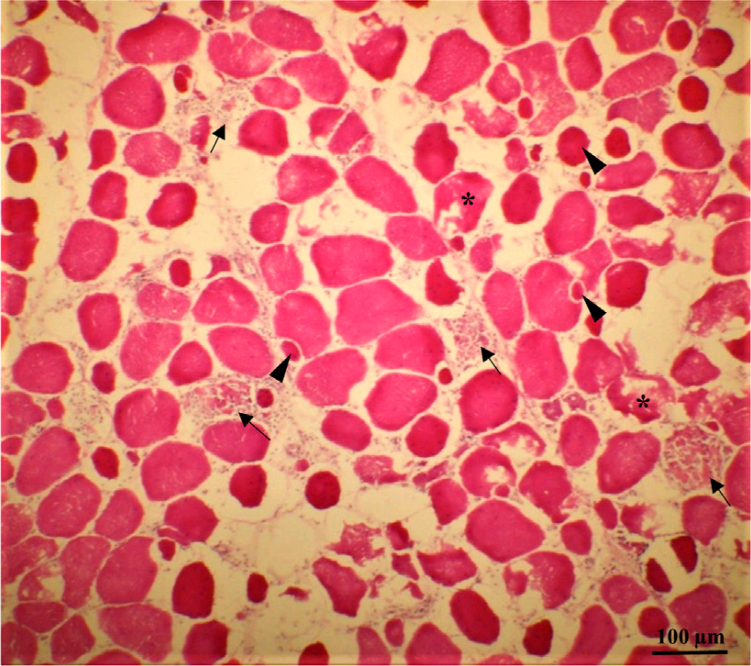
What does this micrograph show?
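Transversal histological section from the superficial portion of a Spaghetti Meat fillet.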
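This cross-section of skeletal muscle shows degenerating muscle fibers that have lost their normal packed arrangement. The fibers are rounded rather than polygonal and lie apart from each other in wide pale spaces, and their sizes vary greatly, from large pink profiles to very small ones. Some small round fibers stain a deeper pink and sit beside larger fibers, fitting regenerating fibers. Other fibers look pale, patchy and ragged, as in necrosis. In several places a fiber is replaced by a cluster of many small dark nuclei among pale pink debris, where inflammatory cells have moved in and are clearing the remains of the fiber.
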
